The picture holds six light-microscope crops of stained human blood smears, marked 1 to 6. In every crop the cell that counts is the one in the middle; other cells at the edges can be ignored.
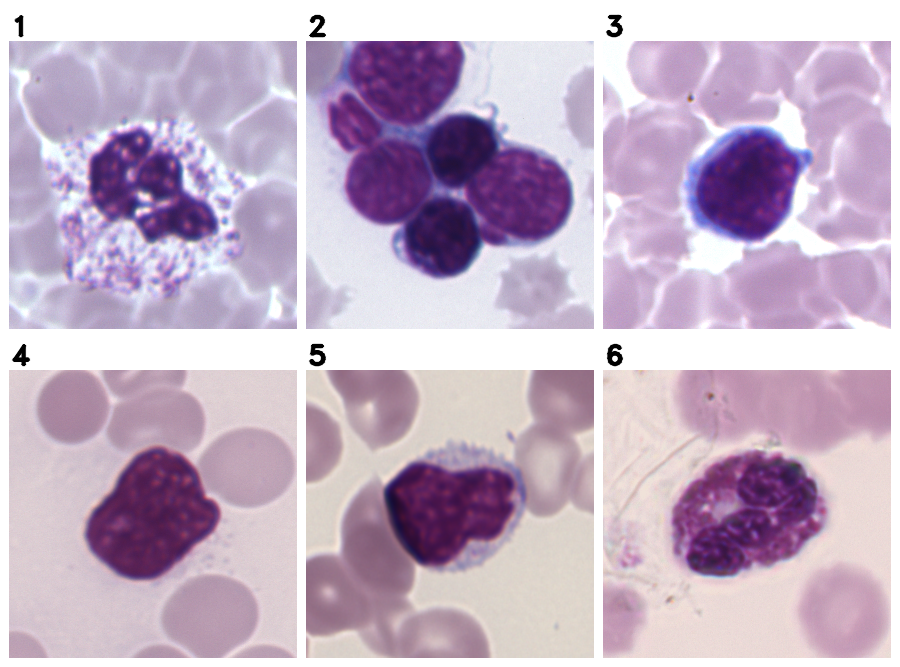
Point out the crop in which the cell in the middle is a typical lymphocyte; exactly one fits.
3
